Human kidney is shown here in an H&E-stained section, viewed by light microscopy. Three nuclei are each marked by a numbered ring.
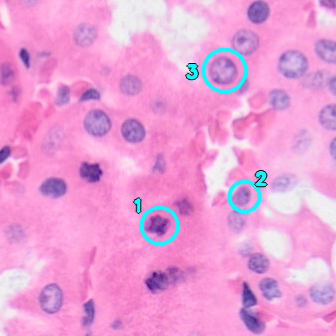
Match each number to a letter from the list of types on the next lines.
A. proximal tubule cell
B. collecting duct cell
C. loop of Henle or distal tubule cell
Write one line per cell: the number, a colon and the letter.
1: A
2: B
3: A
